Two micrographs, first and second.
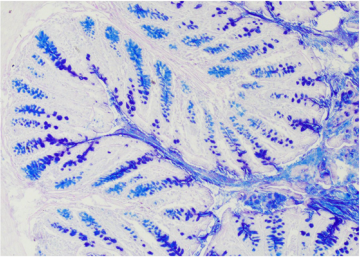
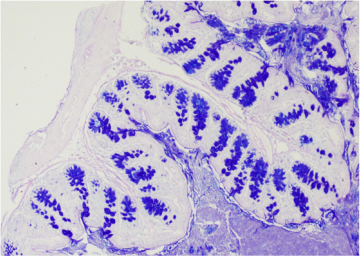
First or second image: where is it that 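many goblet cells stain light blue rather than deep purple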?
the first image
